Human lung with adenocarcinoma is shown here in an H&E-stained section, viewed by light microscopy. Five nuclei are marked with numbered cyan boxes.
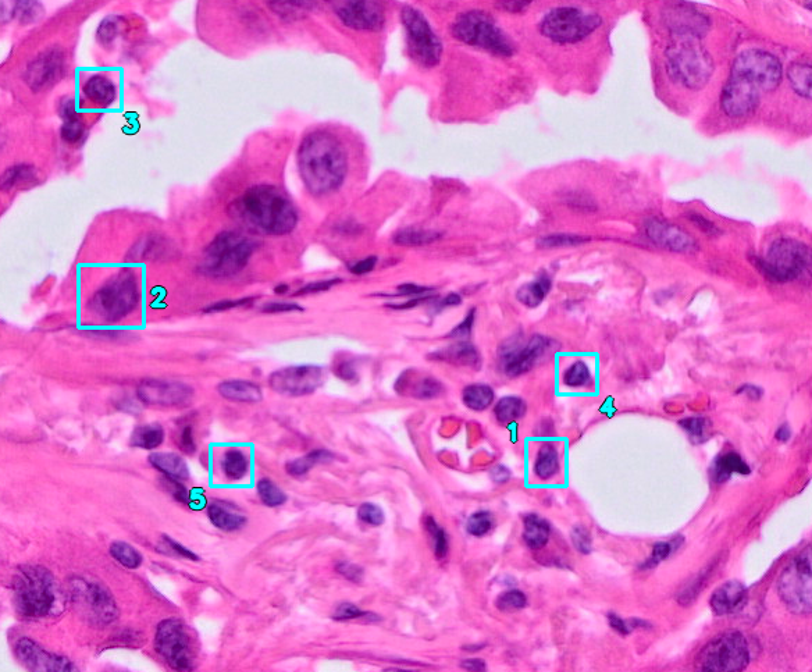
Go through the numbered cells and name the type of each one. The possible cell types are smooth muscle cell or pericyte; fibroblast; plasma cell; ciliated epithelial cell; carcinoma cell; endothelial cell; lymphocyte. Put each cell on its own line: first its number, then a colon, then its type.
1: lymphocyte
2: carcinoma cell
3: lymphocyte
4: lymphocyte
5: plasma cell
